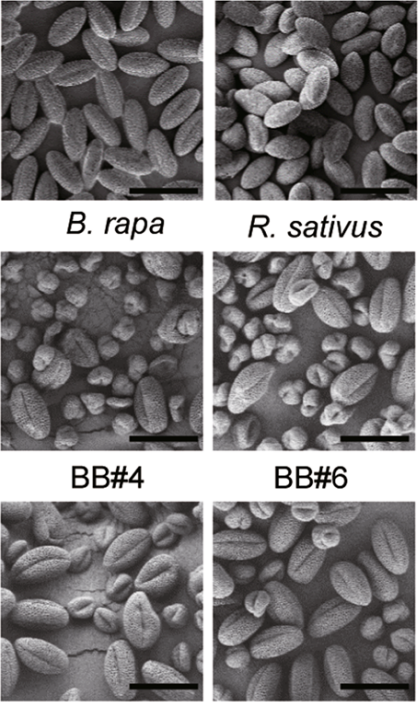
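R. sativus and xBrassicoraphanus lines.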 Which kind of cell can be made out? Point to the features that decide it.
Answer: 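Pollen grains. Many separate ellipsoid grains lying loose on a flat surface. Grains show longitudinal furrows and a finely netted surface. In several images, small shrivelled, collapsed grains lie among the plump ones.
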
